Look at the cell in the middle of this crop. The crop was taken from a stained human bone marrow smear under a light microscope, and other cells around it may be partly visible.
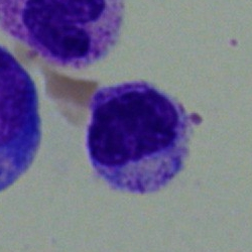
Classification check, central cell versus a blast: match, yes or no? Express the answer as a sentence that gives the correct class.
No, the middle of the crop holds a lymphocyte, not a blast.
